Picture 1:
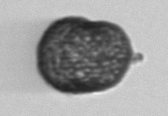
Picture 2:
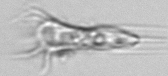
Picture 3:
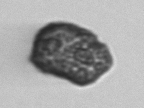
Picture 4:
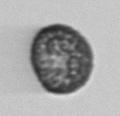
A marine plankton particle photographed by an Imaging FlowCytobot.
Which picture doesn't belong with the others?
Picture 2.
